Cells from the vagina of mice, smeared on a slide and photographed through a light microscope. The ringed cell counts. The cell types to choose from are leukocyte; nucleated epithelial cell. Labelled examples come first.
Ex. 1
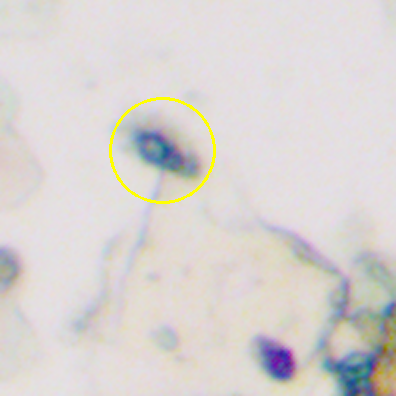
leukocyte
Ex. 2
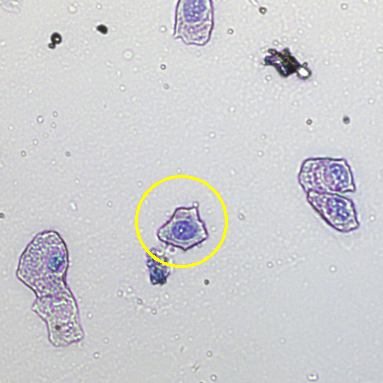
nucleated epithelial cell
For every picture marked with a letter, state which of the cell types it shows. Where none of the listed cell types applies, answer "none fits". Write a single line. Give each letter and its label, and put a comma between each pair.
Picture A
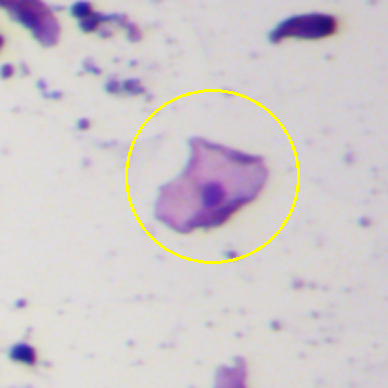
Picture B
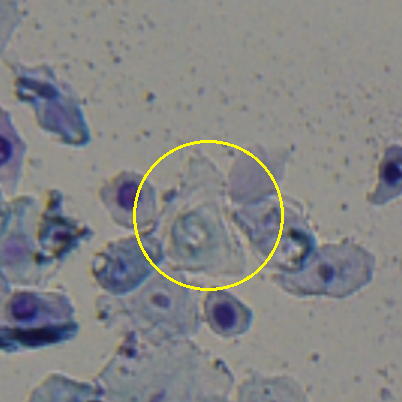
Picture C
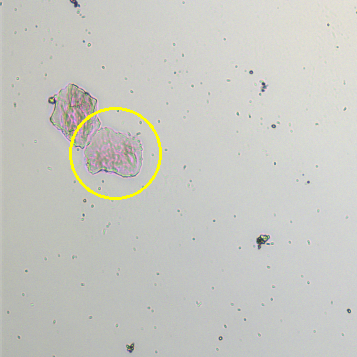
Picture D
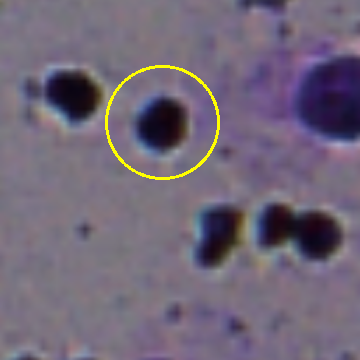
A nucleated epithelial cell, B none fits, C none fits, D leukocyte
